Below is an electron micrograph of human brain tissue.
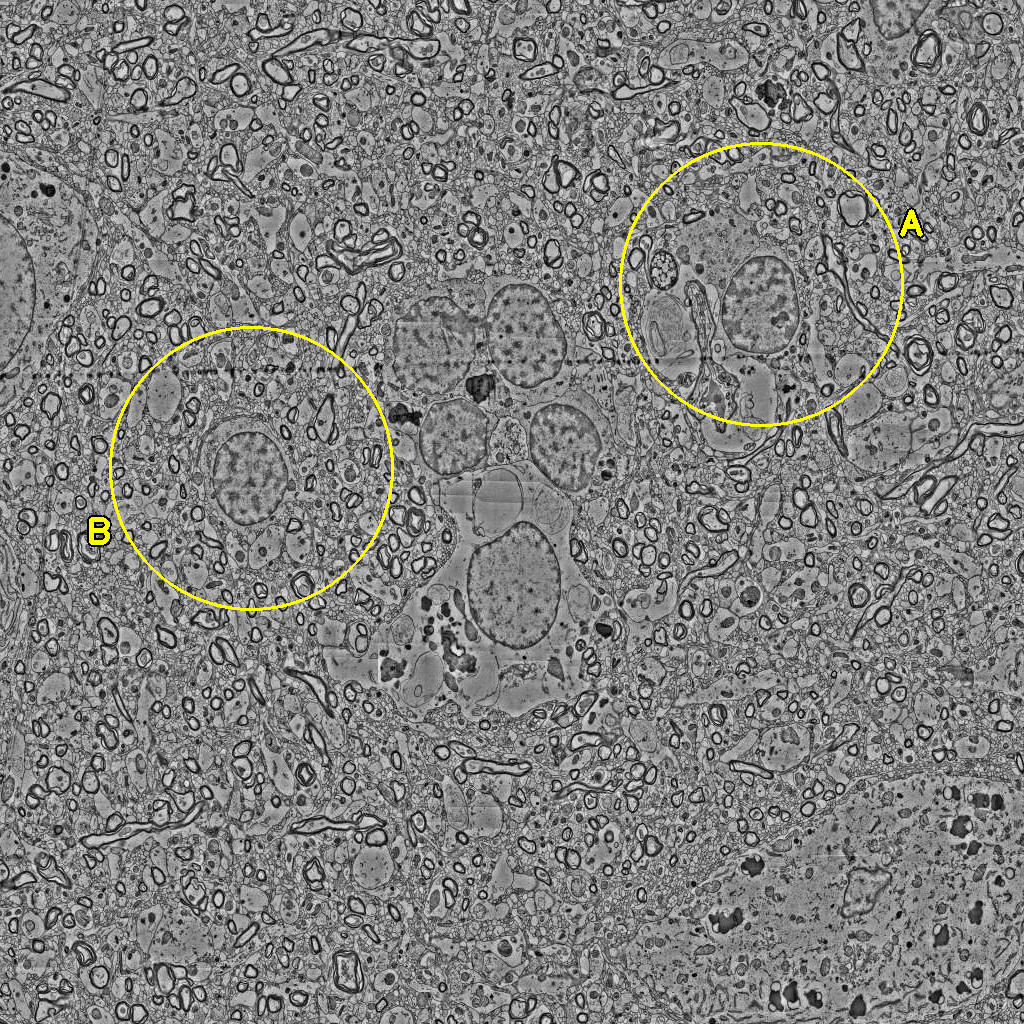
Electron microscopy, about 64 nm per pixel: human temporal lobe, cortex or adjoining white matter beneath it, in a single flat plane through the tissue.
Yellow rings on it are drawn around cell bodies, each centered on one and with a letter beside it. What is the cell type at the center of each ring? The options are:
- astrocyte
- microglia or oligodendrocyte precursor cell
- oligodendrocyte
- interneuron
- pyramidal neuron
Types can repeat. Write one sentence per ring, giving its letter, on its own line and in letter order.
At the center of ring A is an oligodendrocyte.
At the center of ring B is an oligodendrocyte.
